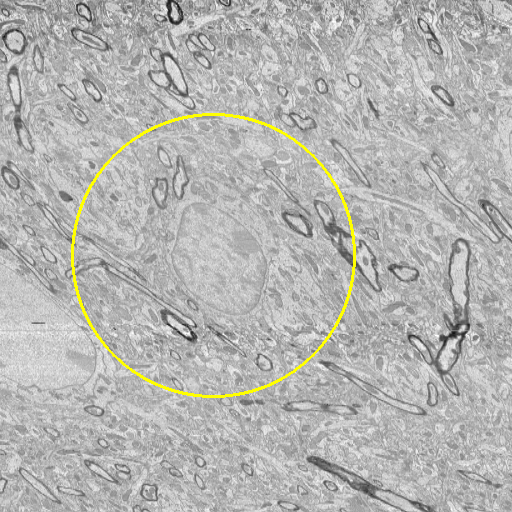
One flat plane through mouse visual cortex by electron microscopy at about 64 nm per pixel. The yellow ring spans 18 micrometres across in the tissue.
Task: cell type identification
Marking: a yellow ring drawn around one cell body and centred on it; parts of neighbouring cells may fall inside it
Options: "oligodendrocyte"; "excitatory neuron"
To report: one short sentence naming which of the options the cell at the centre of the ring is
The cell at the centre of the ring is an oligodendrocyte.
